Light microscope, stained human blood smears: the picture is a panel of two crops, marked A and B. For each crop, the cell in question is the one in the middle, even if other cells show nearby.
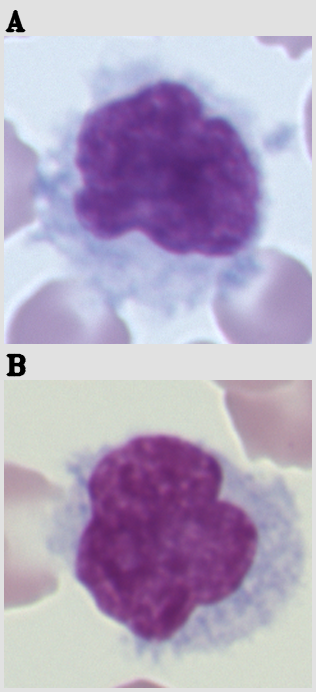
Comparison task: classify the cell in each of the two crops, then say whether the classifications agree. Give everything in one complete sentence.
Yes, both crops are centred on cells that are hairy cells.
